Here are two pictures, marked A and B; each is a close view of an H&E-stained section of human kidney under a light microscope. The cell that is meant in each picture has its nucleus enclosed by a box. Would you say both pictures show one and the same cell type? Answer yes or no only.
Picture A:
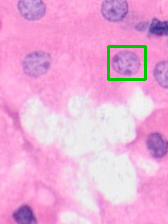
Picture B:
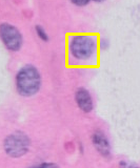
no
